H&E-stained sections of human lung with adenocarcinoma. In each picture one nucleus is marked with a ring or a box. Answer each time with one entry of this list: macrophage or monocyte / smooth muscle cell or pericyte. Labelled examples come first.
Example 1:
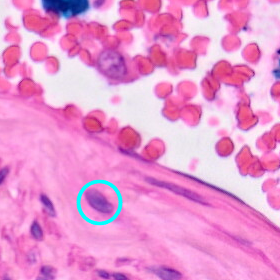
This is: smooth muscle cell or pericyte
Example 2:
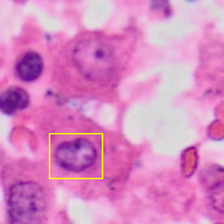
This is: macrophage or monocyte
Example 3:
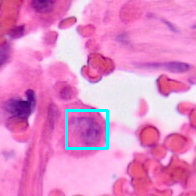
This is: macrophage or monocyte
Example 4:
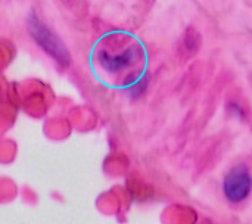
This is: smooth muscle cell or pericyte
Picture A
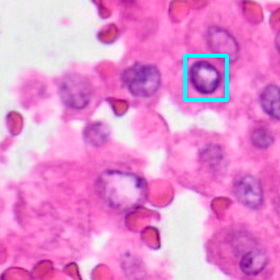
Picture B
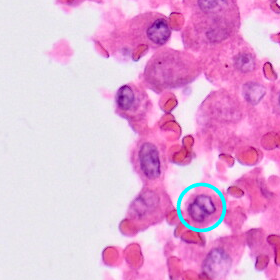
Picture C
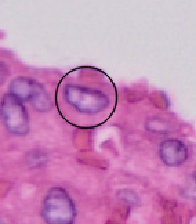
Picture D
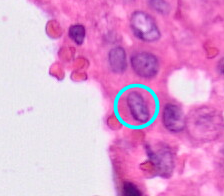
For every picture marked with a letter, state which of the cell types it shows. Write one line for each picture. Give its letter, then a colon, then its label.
A: macrophage or monocyte
B: macrophage or monocyte
C: macrophage or monocyte
D: macrophage or monocyte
